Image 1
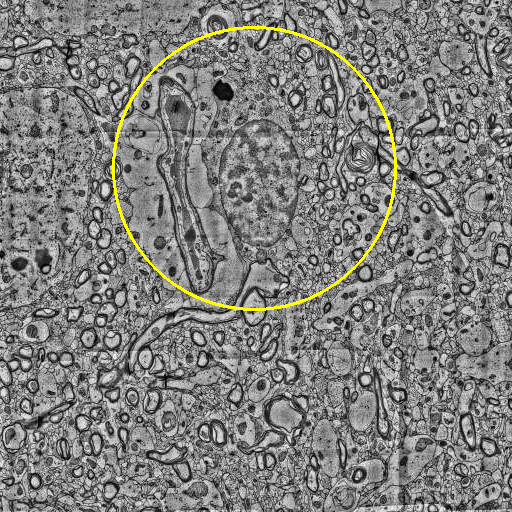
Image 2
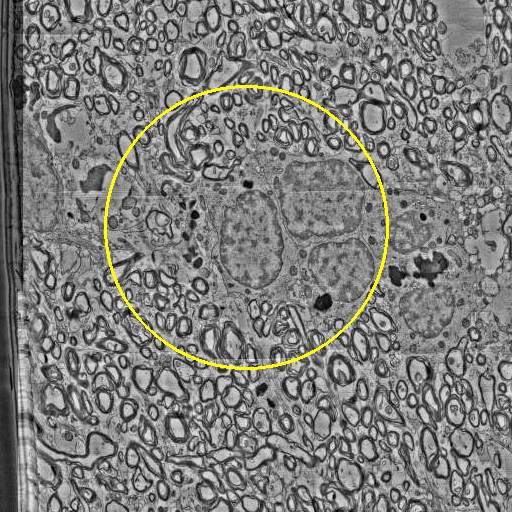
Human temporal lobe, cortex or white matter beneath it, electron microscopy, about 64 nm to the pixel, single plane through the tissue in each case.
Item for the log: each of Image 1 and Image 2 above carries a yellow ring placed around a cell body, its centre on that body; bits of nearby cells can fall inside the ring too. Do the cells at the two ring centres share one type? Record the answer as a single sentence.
Yes, the two cells at the ring centres in Image 1 and Image 2 share one type.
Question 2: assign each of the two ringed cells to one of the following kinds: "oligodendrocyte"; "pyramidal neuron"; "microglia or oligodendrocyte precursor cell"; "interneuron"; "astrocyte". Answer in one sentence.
Each of the two rings surrounds an oligodendrocyte.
